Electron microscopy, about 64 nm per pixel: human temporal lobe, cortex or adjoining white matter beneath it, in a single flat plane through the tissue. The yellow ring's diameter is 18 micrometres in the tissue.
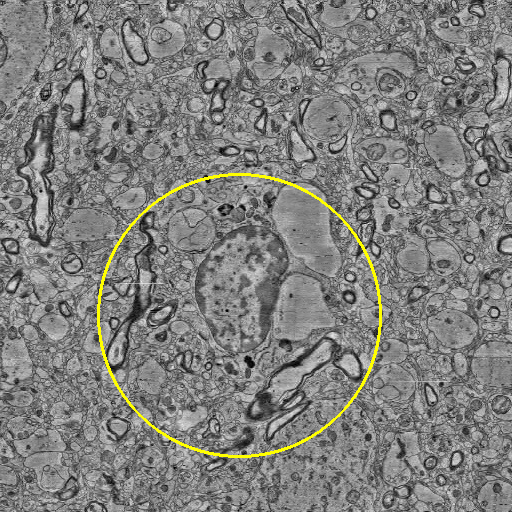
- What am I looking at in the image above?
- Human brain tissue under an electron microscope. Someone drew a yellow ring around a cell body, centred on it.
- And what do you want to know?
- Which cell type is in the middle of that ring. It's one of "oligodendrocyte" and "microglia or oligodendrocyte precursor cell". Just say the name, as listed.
microglia or oligodendrocyte precursor cell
